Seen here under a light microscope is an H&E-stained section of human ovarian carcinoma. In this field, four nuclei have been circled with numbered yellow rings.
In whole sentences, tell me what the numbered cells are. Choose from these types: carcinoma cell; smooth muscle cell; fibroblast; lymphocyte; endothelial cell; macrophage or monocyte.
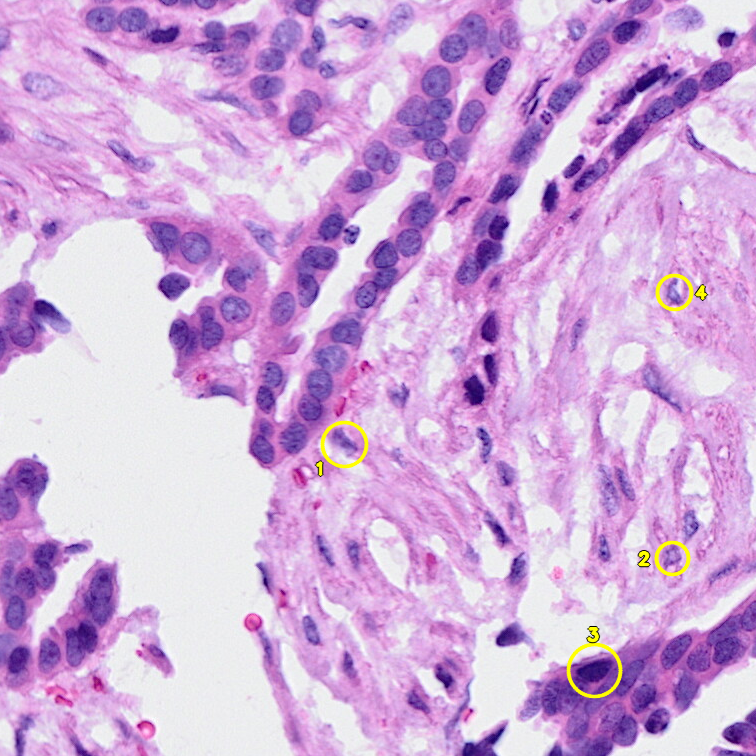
Cells 1, 2 and 4 are fibroblasts. Cell 3 is a carcinoma cell.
